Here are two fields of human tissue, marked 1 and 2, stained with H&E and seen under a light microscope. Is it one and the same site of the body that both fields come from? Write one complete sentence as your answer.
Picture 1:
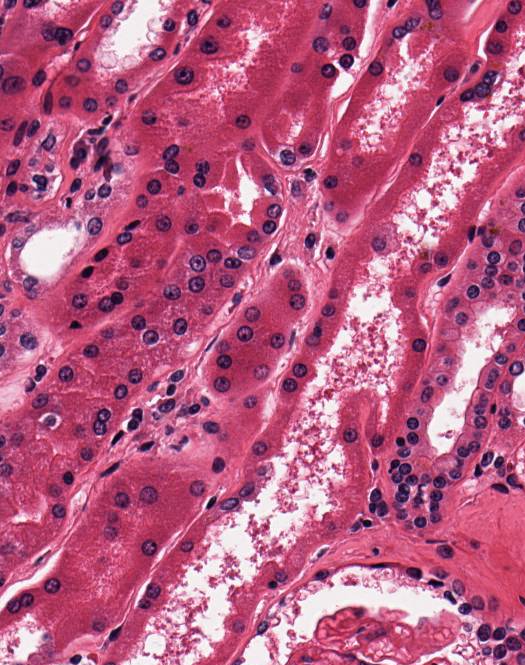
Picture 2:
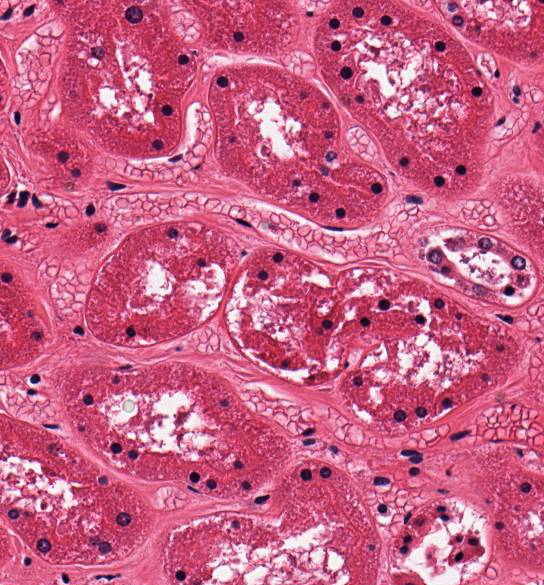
Yes, the two fields both come from the renal cortex.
